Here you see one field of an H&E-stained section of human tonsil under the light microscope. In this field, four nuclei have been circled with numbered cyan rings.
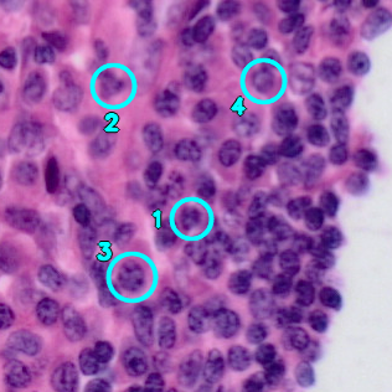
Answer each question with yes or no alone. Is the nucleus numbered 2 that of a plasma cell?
no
